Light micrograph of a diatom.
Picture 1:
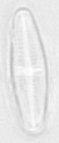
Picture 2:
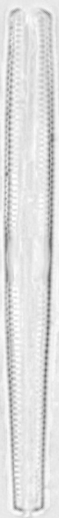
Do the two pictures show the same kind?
No: Achnanthidium, then Fragilaria.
